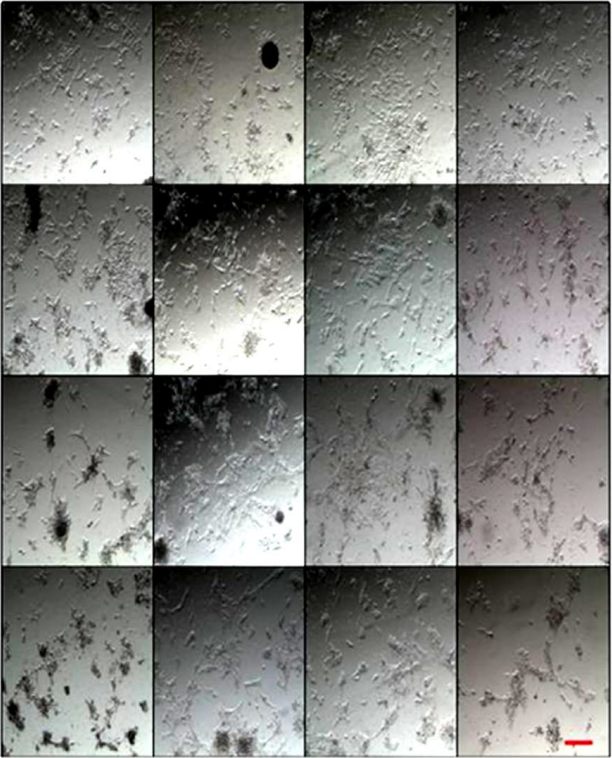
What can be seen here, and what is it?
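Some cells have flattened and stretched out into spindle or star-like forms on the dish, while others stay small and rounded and gather into dark, dense clumps. The coverage of the dish is patchy, with open areas between groups of cells.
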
